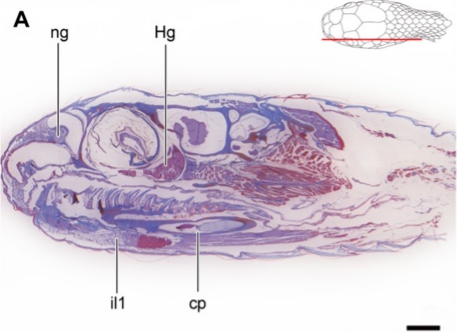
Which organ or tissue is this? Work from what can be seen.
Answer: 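An elongated section with a rounded eye-like structure and skull bones. Jaw and muscle tissues run along the length of the section. So: head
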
